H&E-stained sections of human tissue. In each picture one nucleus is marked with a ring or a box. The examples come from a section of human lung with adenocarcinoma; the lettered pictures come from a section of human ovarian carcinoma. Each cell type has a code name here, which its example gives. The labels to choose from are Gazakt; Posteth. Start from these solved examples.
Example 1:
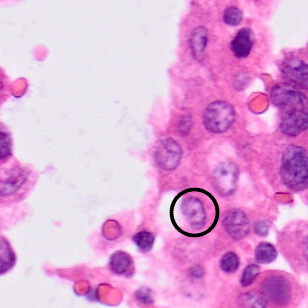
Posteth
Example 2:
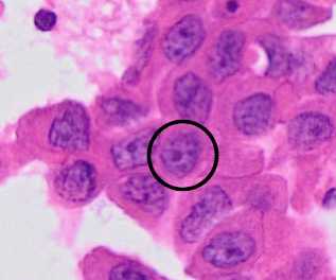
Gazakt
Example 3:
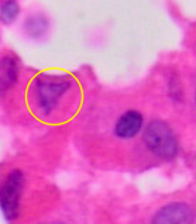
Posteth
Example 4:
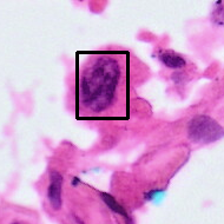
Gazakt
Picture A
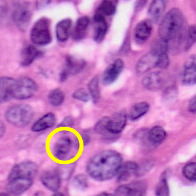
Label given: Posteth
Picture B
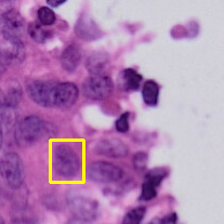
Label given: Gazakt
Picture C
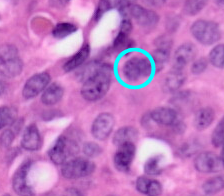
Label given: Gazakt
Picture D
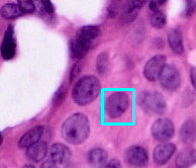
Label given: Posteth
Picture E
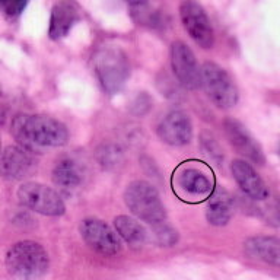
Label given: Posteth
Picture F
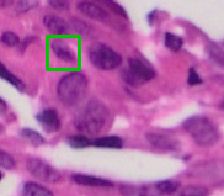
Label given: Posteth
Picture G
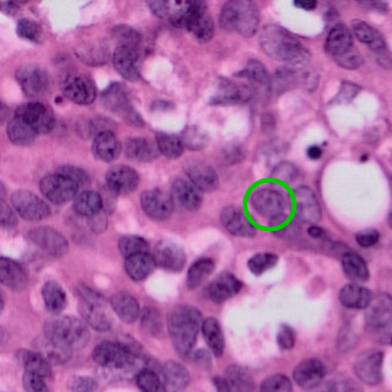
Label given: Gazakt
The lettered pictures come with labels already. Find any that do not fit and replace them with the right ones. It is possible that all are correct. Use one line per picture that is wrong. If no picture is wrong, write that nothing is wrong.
Wrong: D (Posteth); correct: Gazakt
